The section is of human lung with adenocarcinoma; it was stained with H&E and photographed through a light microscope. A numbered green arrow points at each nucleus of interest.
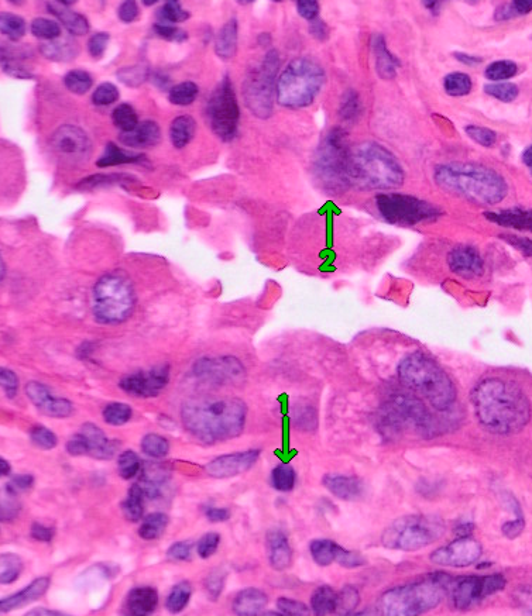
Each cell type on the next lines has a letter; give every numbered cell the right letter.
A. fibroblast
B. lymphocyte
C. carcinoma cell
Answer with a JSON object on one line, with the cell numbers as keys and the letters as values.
{"1": "B", "2": "C"}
